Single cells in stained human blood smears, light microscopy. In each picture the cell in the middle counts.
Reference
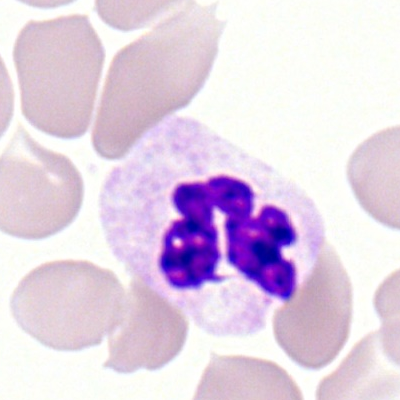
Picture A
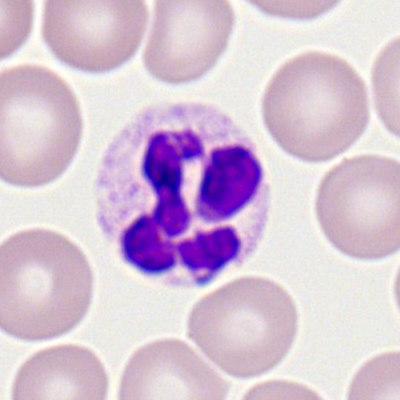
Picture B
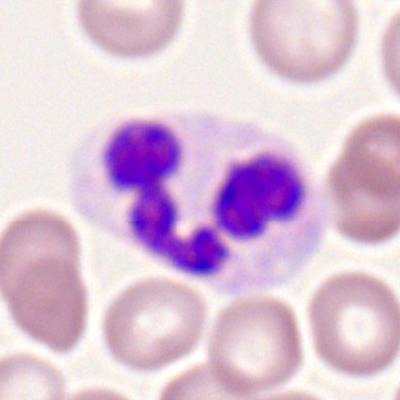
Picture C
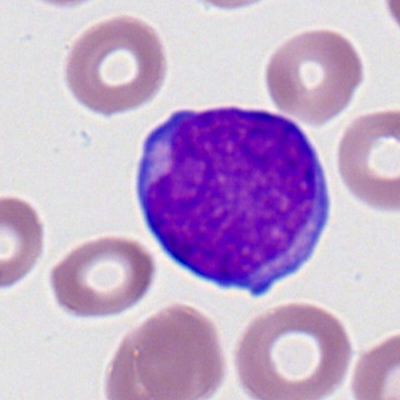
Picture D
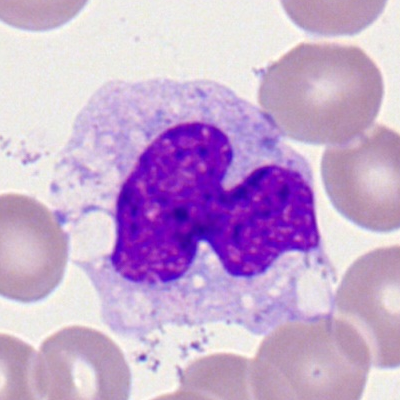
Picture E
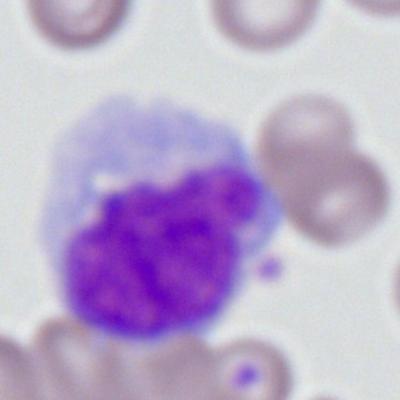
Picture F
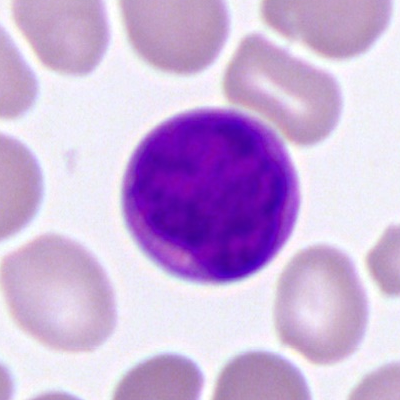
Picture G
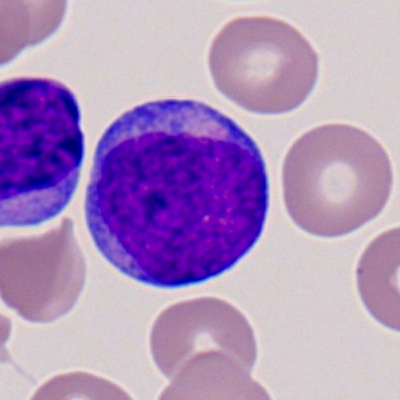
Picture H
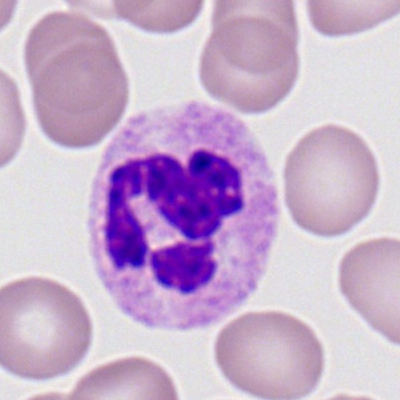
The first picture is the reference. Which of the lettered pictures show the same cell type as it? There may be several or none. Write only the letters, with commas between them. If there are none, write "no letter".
A, B, H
